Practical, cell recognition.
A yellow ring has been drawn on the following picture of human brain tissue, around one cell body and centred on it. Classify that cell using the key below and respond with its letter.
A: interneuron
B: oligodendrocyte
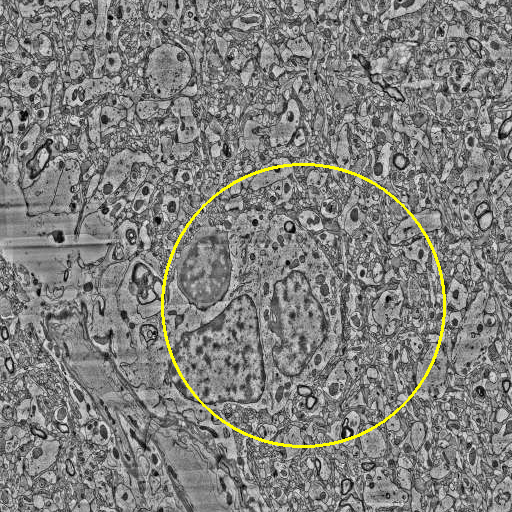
A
